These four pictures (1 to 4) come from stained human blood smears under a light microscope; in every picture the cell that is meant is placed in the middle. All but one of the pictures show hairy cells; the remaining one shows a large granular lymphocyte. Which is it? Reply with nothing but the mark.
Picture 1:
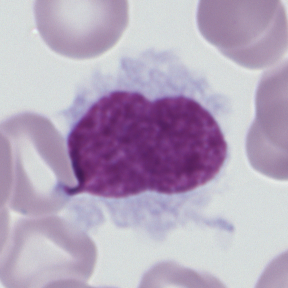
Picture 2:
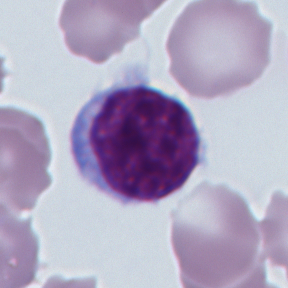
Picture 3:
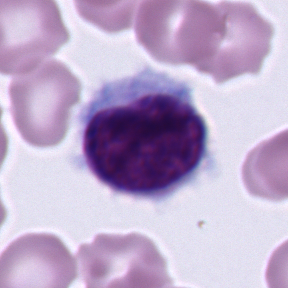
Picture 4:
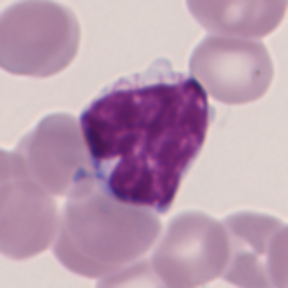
4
